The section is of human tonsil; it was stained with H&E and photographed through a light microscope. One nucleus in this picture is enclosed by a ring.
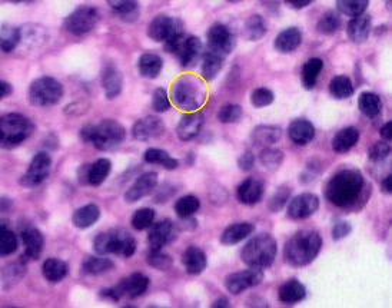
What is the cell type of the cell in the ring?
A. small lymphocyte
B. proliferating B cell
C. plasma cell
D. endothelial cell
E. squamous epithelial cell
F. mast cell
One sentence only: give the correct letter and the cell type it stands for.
Settle on option B; the cell in the ring is a proliferating B cell.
